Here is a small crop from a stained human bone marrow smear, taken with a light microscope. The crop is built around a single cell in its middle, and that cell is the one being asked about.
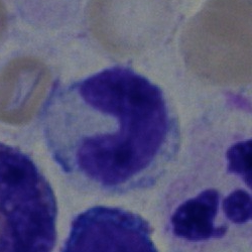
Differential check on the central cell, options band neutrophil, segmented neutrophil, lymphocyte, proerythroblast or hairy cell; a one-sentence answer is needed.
The cell at the central position in this crop is a band neutrophil.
